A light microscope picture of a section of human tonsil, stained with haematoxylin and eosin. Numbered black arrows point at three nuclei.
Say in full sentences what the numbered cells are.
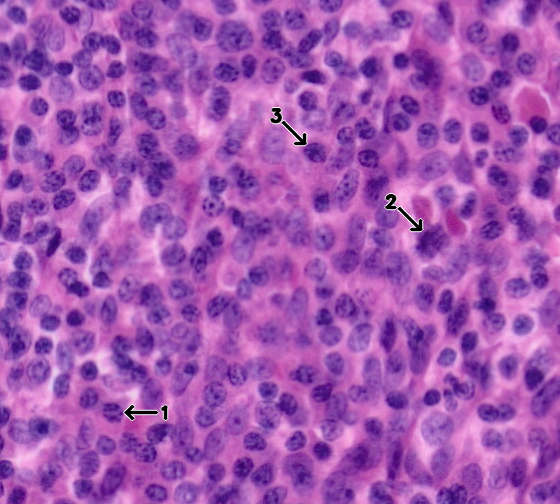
Cell 1 is a plasma cell, cell 2 is a squamous epithelial cell and cell 3 is a plasma cell.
